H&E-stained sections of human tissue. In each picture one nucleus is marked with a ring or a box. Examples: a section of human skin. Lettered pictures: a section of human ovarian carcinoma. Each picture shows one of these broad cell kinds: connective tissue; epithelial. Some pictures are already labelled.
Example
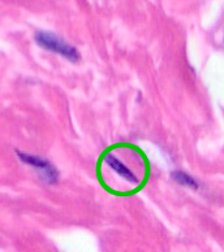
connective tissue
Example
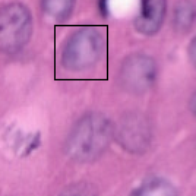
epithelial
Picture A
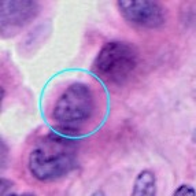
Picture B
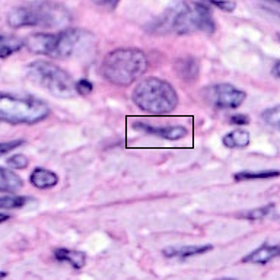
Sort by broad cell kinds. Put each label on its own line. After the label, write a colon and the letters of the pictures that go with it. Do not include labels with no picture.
connective tissue: B
epithelial: A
